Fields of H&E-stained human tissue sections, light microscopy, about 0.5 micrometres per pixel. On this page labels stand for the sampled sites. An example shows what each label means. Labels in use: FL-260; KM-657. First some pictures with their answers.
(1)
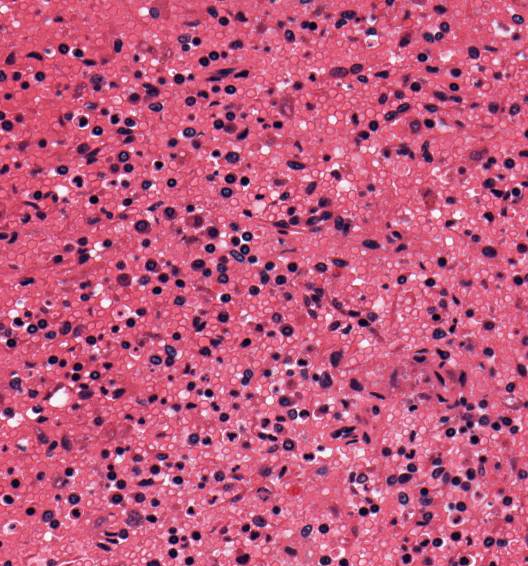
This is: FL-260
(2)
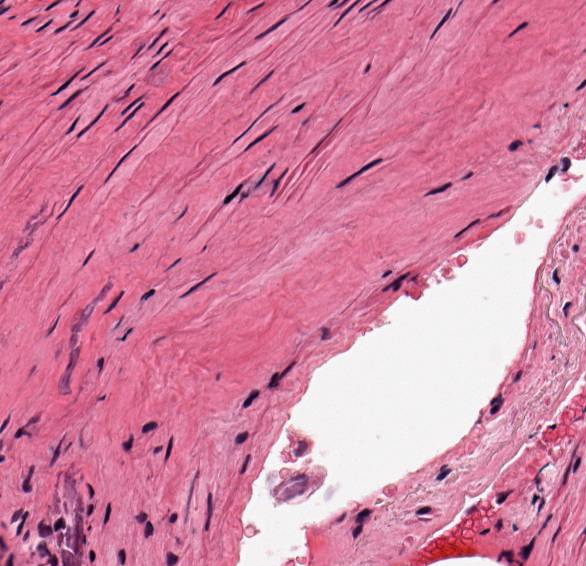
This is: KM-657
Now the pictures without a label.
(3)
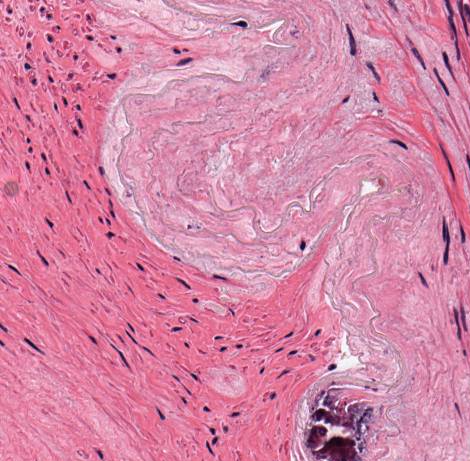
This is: KM-657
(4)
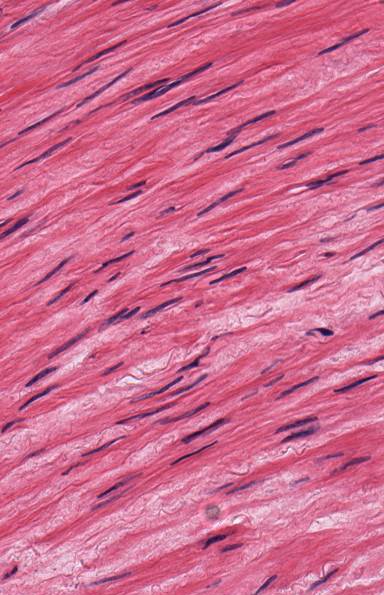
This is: KM-657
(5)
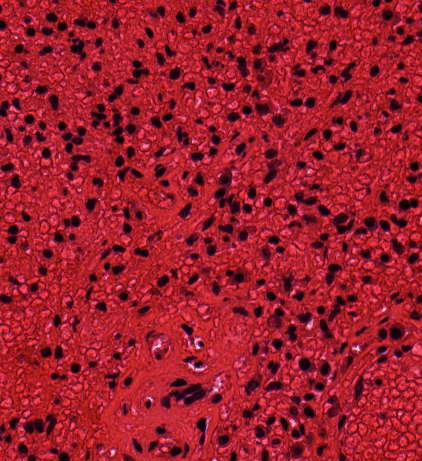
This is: FL-260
